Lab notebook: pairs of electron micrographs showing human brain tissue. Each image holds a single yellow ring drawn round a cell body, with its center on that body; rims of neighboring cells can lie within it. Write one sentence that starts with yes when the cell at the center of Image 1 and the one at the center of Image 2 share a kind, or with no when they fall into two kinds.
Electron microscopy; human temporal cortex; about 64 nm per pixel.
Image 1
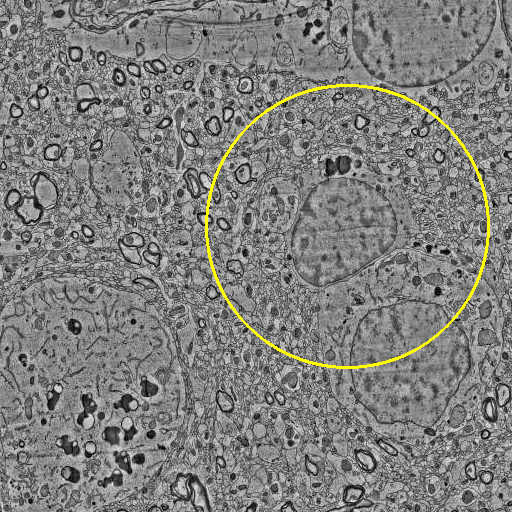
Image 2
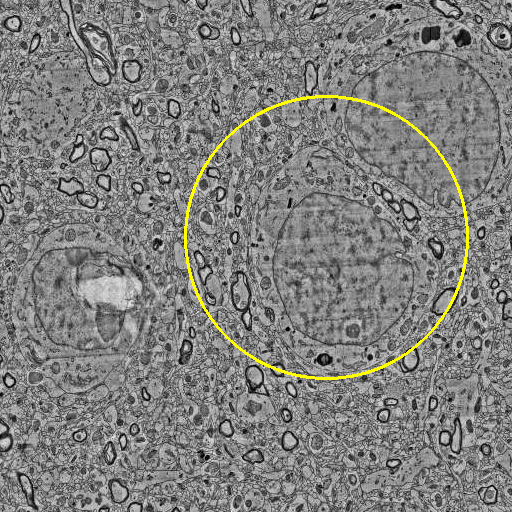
No, the centered cell in Image 1 and the centered cell in Image 2 are of two kinds.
